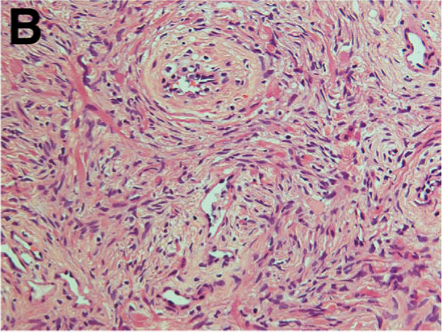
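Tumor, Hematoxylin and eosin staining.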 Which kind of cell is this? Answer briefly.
Spindle-shaped cells.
